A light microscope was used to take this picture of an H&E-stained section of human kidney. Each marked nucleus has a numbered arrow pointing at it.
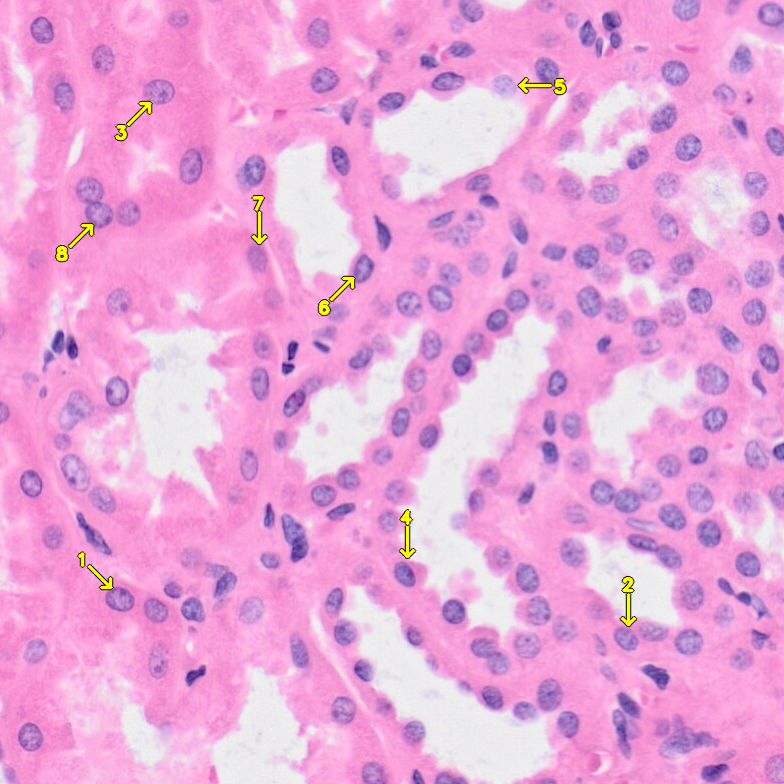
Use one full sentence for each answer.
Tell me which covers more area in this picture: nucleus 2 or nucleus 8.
Nucleus 8 is larger, with an area about 1.5 times that of nucleus 2.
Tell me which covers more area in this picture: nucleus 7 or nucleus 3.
At about 1.5 times the area of nucleus 7, nucleus 3 is the larger of the two.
